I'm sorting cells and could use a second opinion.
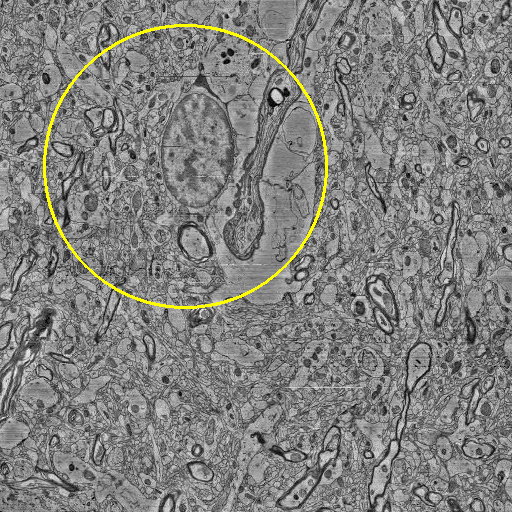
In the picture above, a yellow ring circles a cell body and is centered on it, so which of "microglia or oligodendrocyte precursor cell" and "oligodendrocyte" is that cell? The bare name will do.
oligodendrocyte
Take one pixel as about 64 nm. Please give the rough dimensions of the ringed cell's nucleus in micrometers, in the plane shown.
In this plane, about 8 by 5 micrometres: the nucleus is clearly longer than it is wide.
